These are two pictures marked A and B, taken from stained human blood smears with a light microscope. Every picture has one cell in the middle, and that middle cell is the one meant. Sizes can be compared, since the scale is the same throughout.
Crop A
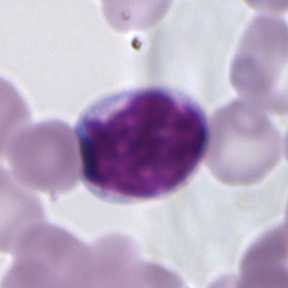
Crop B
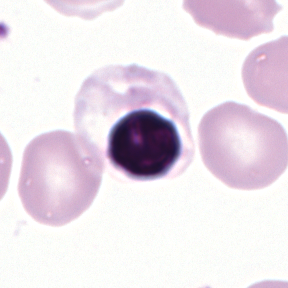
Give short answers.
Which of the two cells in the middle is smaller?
B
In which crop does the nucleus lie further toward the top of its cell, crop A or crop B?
A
